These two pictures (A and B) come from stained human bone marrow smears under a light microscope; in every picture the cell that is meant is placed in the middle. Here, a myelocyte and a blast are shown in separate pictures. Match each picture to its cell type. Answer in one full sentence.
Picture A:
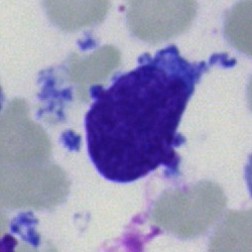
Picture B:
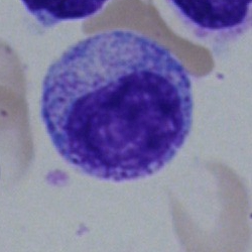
Picture A shows a blast and picture B shows a myelocyte.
